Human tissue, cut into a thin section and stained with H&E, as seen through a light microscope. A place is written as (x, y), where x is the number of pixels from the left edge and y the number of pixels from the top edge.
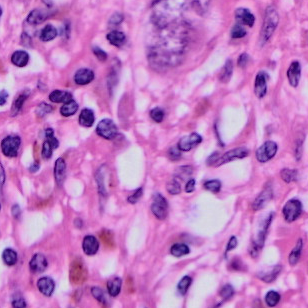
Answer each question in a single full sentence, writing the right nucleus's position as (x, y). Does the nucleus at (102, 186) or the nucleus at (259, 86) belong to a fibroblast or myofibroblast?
Assigned to a fibroblast or myofibroblast is the nucleus located at (102, 186).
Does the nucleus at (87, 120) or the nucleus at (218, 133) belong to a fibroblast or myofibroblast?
Of the two nuclei, the one at (218, 133) belongs to a fibroblast or myofibroblast.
